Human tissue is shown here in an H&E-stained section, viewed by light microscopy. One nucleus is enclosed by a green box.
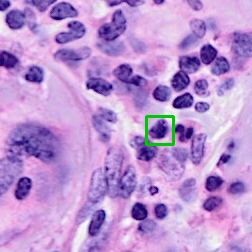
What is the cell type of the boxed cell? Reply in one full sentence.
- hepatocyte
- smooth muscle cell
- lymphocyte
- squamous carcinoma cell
In this preparation, the boxed cell is a lymphocyte.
